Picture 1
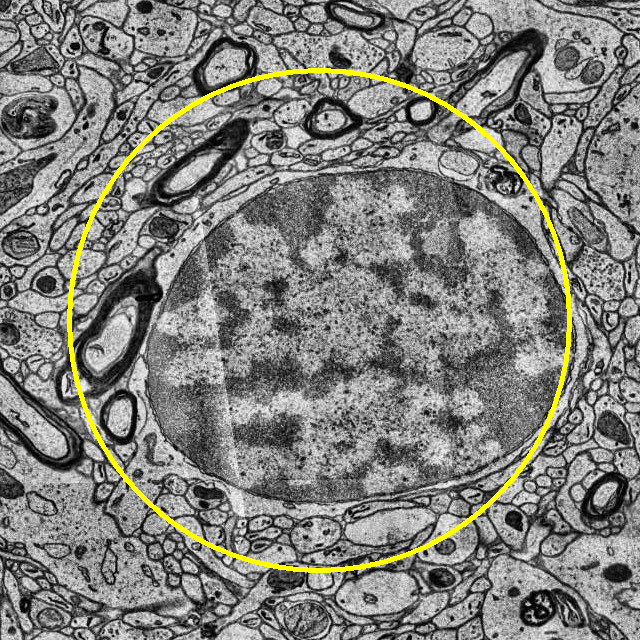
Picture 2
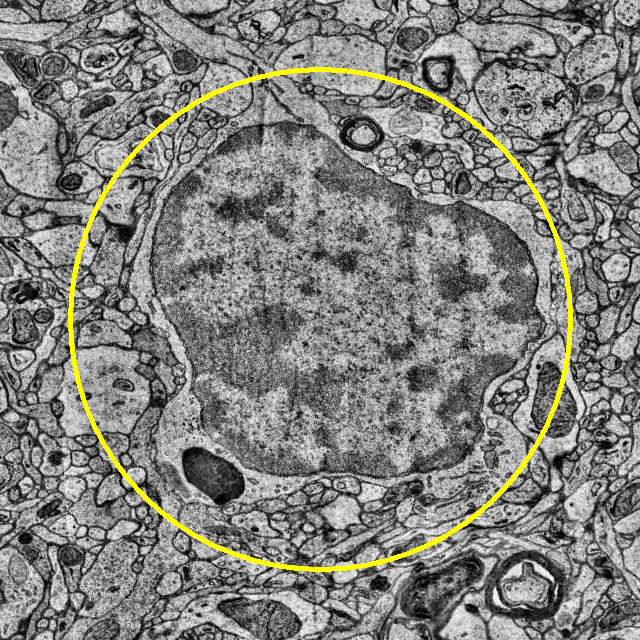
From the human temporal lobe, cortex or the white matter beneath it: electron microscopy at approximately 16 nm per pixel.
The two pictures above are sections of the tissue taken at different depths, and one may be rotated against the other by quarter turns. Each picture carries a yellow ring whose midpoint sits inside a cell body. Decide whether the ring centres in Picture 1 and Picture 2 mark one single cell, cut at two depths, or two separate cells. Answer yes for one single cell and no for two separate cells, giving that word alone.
no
